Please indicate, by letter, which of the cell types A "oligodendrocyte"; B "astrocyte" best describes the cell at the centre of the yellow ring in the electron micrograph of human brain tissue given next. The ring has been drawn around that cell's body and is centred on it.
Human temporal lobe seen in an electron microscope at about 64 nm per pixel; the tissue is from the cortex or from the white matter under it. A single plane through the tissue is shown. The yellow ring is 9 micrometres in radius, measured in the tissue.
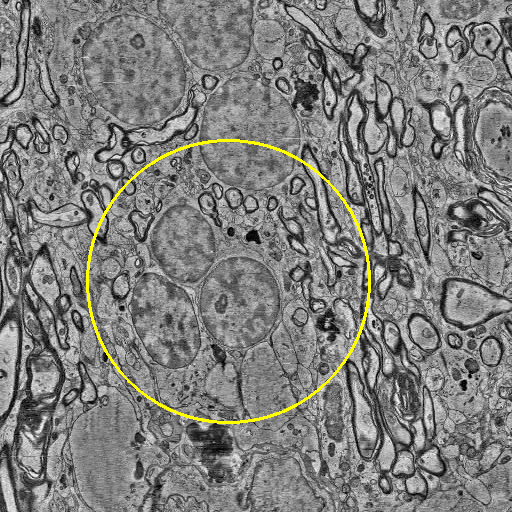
A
